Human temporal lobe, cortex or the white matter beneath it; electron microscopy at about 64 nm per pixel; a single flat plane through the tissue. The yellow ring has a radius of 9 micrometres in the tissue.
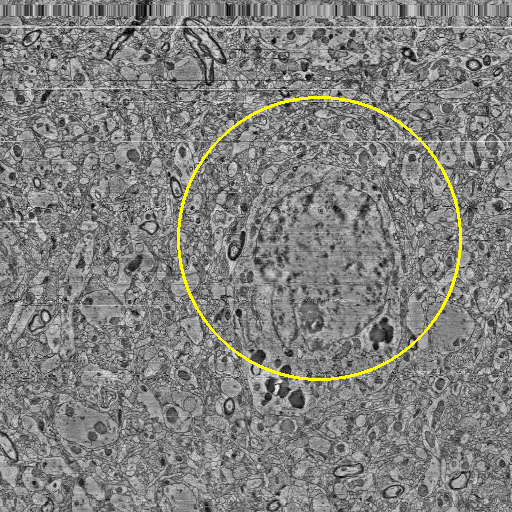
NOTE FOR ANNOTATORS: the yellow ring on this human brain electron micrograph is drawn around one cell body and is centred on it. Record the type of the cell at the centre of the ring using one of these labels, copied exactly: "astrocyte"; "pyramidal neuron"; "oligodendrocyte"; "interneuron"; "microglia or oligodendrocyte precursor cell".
interneuron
